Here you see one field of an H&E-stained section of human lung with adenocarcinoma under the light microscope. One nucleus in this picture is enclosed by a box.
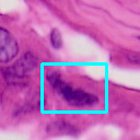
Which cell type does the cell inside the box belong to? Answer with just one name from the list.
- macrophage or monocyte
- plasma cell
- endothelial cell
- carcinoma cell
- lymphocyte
carcinoma cell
